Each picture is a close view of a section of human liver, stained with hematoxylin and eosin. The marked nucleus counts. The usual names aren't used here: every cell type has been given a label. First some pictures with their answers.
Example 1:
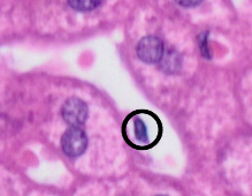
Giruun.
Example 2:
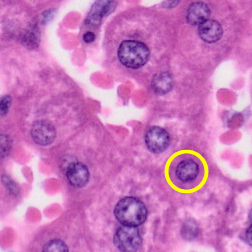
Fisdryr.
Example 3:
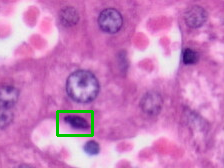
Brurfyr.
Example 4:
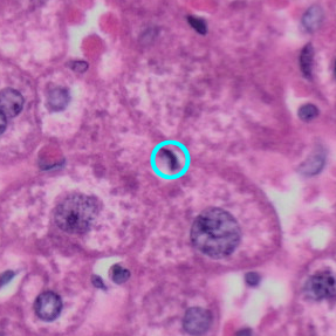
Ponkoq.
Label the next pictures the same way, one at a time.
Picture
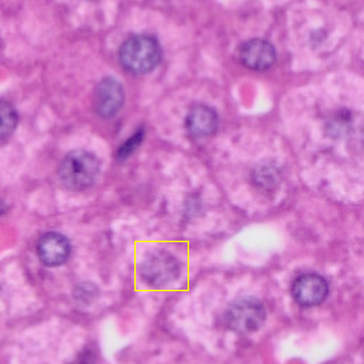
Fisdryr.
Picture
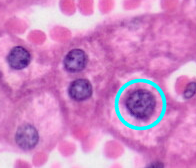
Fisdryr.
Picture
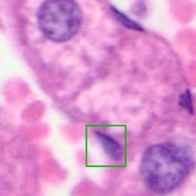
Brurfyr.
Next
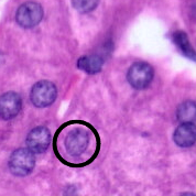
Fisdryr.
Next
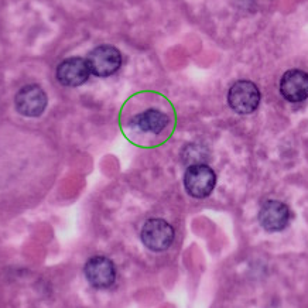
Brurfyr.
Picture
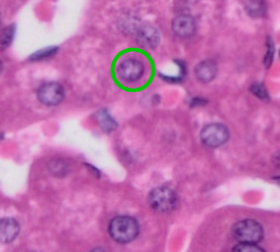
Fisdryr.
